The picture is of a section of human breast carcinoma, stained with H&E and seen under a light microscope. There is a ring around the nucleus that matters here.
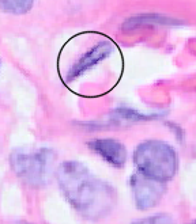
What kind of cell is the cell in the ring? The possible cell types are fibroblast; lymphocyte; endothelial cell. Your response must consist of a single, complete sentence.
By its classification, the cell in the ring is an endothelial cell.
